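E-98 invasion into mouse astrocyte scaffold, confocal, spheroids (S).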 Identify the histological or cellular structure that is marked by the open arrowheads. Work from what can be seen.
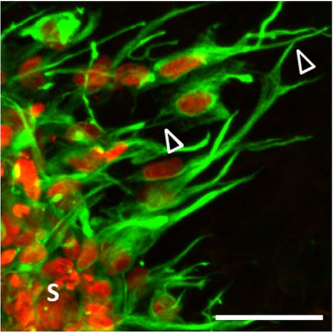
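Thin green processes run from one cell toward another. The arrowheads sit on long slender extensions between cells. So: dendrite-like filaments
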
